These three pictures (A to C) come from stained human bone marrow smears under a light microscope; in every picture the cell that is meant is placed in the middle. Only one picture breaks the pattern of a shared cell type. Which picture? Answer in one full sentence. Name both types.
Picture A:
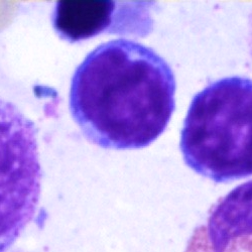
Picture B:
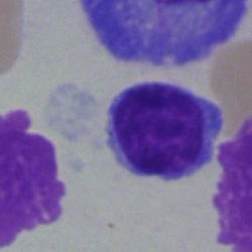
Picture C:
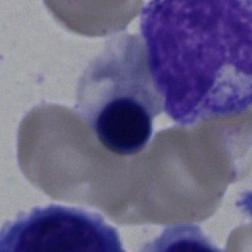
Picture C is the odd one out: it shows an erythroblast, while the others show lymphocytes.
